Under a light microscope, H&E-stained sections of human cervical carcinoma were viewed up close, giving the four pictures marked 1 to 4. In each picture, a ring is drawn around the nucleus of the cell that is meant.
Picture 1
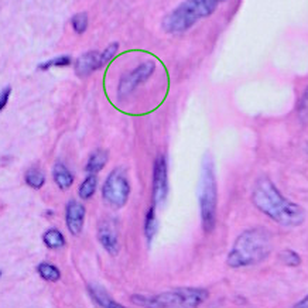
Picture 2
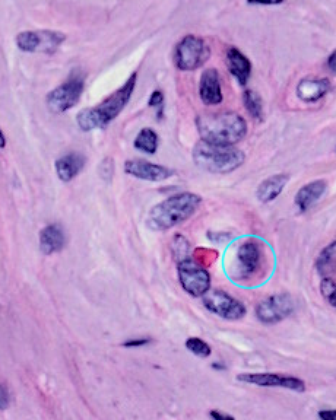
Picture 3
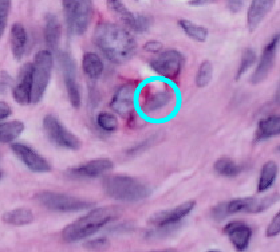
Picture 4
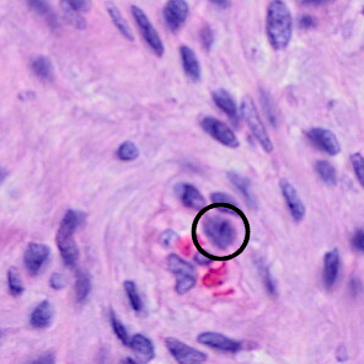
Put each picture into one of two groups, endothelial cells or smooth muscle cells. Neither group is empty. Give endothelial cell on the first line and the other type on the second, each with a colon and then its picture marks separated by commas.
endothelial cell: 2, 3, 4
smooth muscle cell: 1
